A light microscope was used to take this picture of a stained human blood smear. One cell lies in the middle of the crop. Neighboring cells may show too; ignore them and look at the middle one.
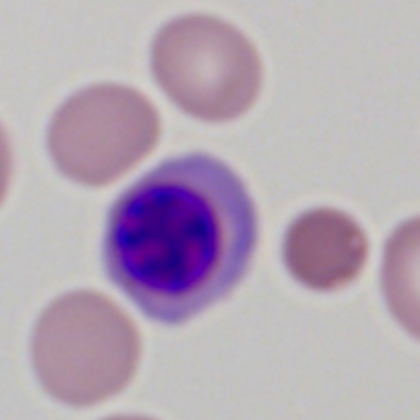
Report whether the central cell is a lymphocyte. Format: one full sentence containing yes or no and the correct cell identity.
No, it isn't a lymphocyte; what sits in the middle is a normoblast.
